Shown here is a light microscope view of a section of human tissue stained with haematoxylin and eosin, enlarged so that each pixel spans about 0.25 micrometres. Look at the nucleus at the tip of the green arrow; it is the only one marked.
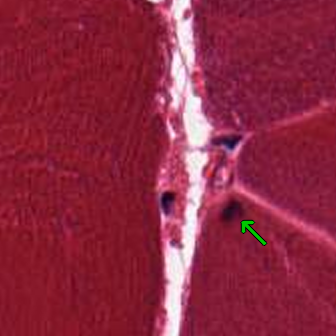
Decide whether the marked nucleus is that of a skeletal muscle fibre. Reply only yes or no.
yes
